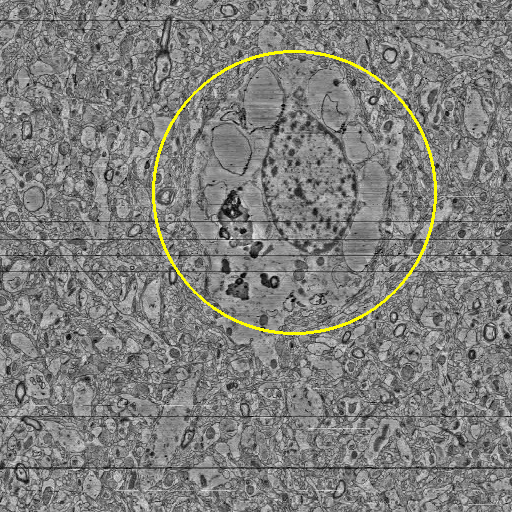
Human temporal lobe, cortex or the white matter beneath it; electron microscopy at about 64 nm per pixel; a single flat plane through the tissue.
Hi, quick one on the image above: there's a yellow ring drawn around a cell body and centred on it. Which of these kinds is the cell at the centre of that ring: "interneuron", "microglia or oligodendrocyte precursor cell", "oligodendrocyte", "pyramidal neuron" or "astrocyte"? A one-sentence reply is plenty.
The cell at the centre of the ring is an astrocyte.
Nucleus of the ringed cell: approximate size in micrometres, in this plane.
Roughly 9 by 6 micrometres; in this plane, clearly longer than it is wide.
